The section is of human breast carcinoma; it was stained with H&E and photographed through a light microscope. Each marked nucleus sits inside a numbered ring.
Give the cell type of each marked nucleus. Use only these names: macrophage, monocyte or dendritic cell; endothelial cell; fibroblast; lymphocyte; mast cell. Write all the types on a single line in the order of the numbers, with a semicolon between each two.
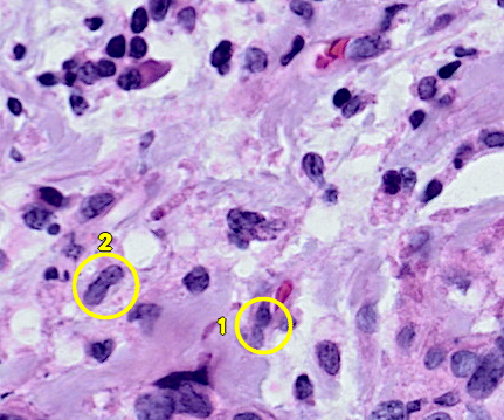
endothelial cell; macrophage, monocyte or dendritic cell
